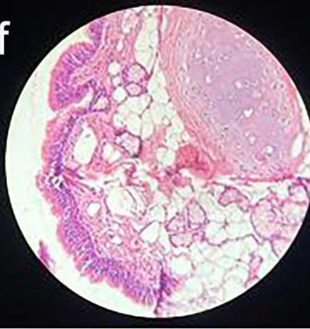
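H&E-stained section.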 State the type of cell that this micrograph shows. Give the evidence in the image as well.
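Clusters of large, round, empty-looking cells with thin borders beside the cartilage.
Conclusion: adipocytes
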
